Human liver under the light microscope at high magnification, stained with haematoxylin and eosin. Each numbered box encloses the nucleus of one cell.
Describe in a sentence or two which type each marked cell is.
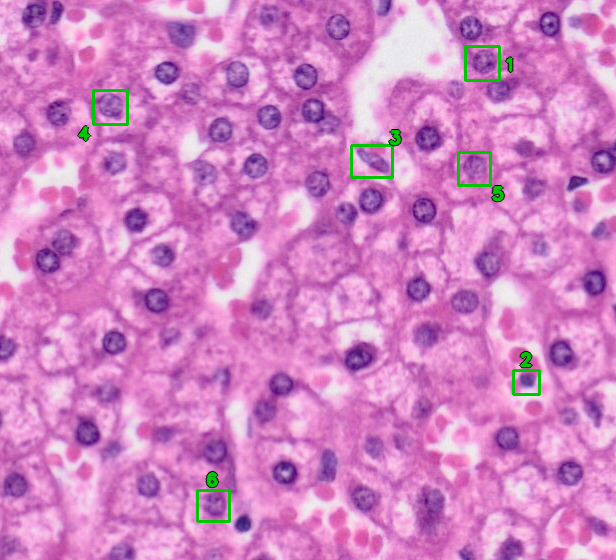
Cell 1 is a hepatocyte, cell 2 is a lymphocyte, cell 3 is a Kupffer cell, cell 4 is a hepatocyte, cell 5 is a hepatocyte and cell 6 is a hepatocyte.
